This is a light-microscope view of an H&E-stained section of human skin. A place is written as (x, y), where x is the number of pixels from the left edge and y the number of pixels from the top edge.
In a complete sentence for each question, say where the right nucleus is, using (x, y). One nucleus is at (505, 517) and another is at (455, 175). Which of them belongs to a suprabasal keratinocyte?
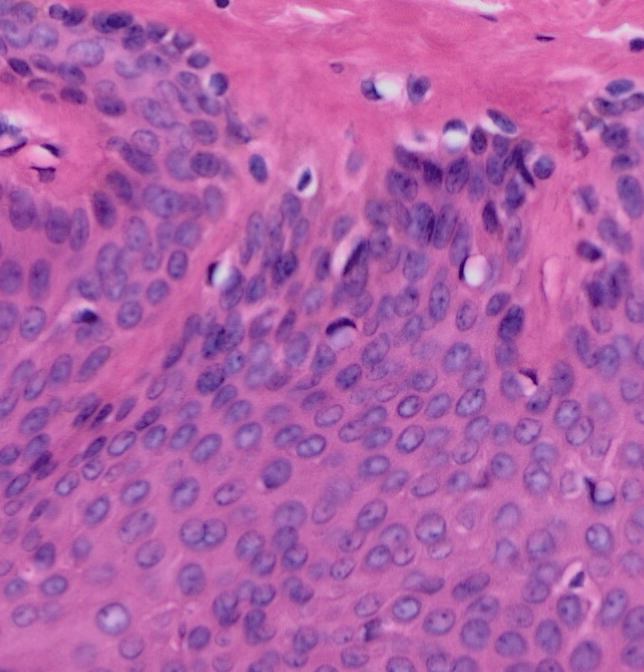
Housed in a suprabasal keratinocyte is the nucleus at (505, 517), not the other one.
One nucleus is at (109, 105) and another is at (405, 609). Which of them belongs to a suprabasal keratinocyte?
Of the two nuclei, it is the one at (405, 609) that lies within a suprabasal keratinocyte.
